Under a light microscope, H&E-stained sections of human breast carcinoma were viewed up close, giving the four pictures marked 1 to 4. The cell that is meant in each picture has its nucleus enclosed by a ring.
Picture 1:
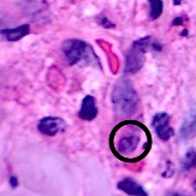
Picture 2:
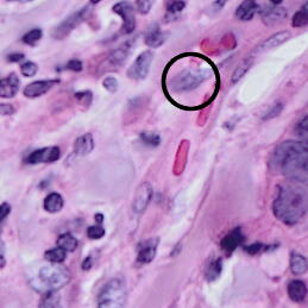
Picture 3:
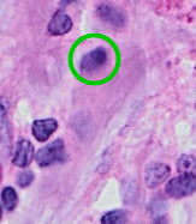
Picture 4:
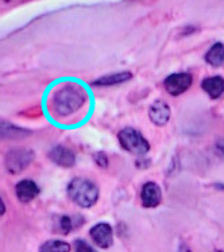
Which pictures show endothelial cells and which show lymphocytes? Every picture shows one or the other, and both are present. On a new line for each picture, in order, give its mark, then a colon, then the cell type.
1: endothelial cell
2: endothelial cell
3: lymphocyte
4: endothelial cell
